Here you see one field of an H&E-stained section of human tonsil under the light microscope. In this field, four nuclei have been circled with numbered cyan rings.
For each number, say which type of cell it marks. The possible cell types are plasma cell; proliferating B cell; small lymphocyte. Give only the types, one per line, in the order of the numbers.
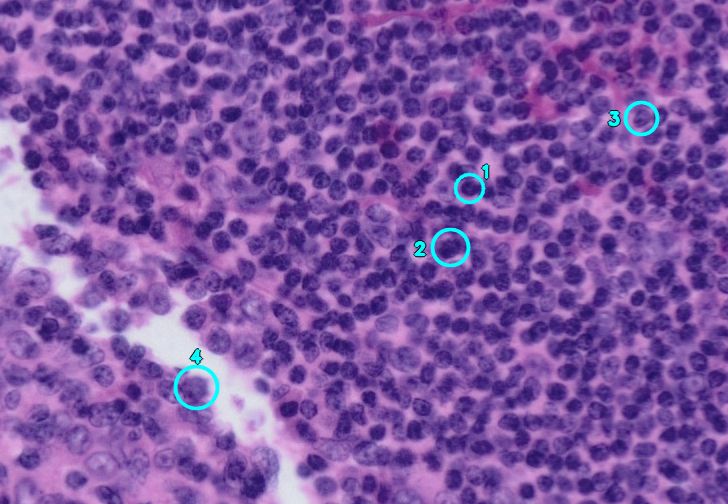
small lymphocyte
small lymphocyte
small lymphocyte
proliferating B cell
